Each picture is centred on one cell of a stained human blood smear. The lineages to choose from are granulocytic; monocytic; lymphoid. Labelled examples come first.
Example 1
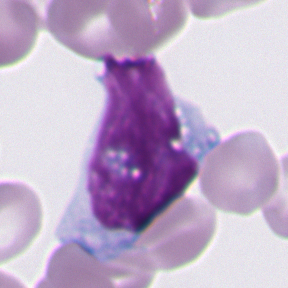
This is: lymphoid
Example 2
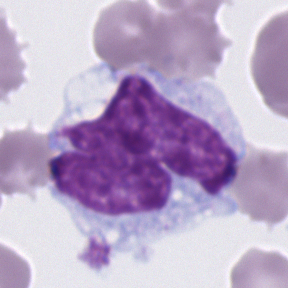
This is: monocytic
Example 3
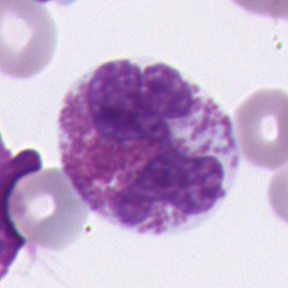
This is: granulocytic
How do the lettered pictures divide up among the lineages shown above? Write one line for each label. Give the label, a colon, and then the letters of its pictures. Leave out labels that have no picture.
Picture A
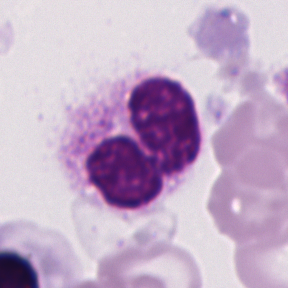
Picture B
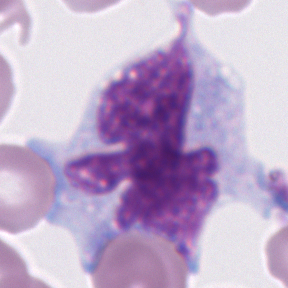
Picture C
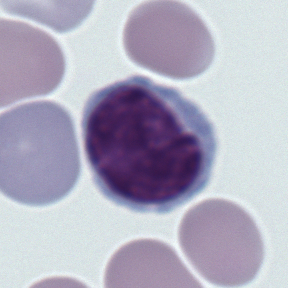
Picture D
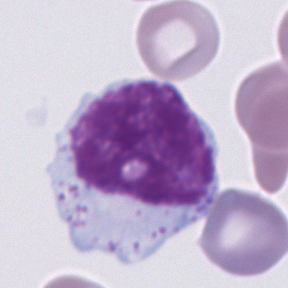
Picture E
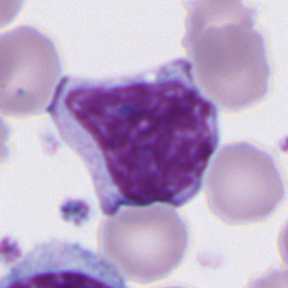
granulocytic: A
monocytic: B
lymphoid: C, D, E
